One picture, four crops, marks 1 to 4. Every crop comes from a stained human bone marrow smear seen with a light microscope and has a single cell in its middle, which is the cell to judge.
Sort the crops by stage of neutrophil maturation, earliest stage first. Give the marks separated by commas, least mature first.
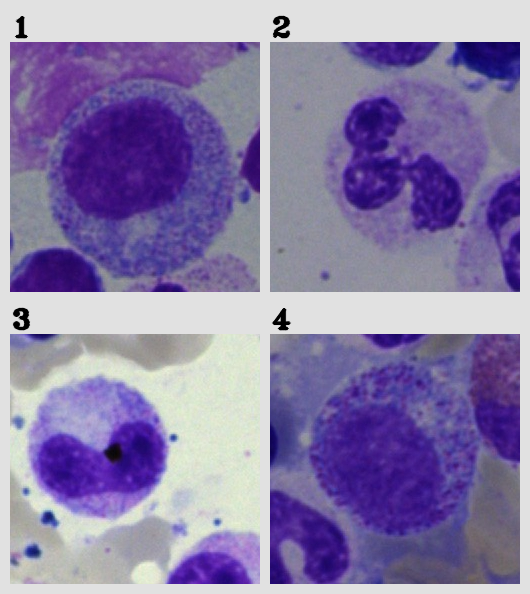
1, 4, 3, 2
